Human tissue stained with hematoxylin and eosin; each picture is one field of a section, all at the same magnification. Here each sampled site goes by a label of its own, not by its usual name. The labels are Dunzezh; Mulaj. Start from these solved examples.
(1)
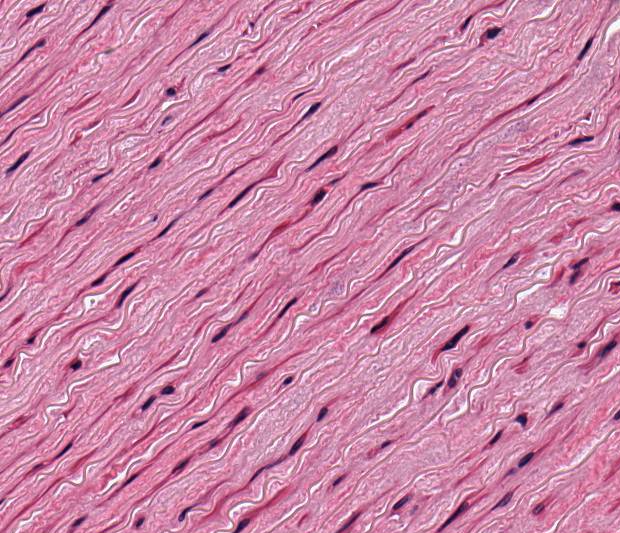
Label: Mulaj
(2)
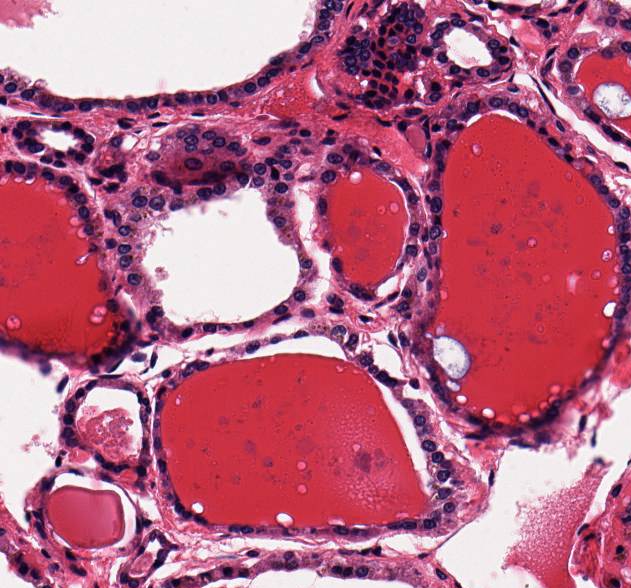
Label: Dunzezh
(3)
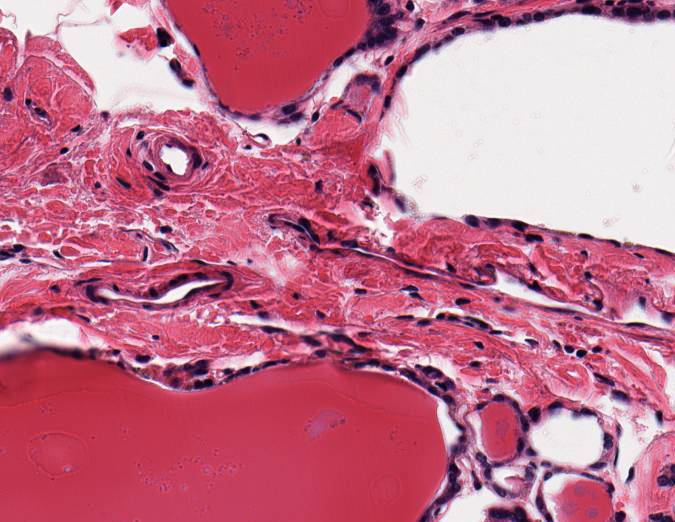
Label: Dunzezh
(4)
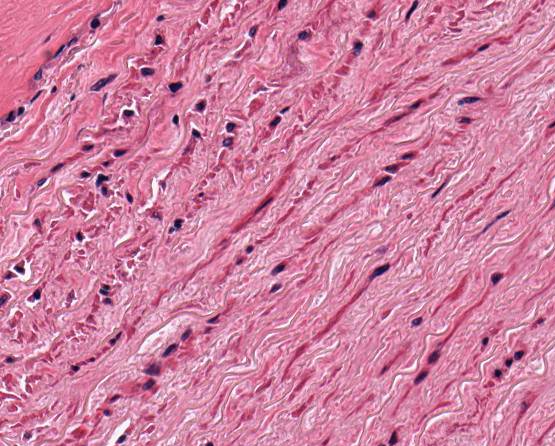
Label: Mulaj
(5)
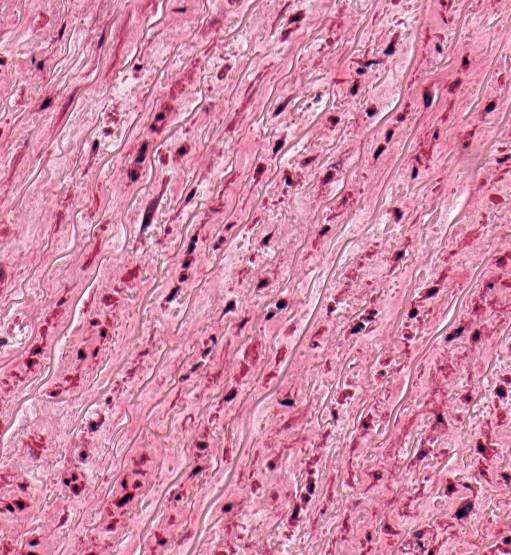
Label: Mulaj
